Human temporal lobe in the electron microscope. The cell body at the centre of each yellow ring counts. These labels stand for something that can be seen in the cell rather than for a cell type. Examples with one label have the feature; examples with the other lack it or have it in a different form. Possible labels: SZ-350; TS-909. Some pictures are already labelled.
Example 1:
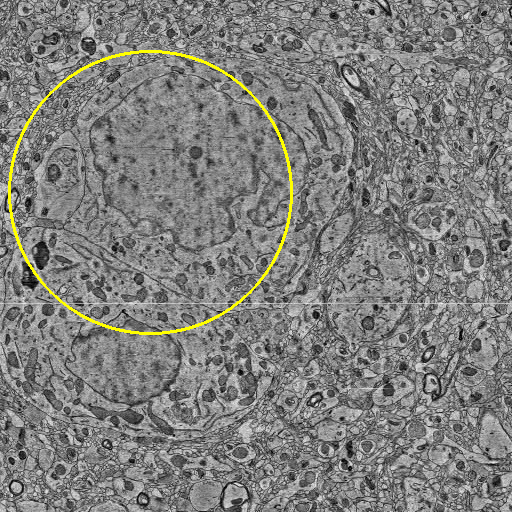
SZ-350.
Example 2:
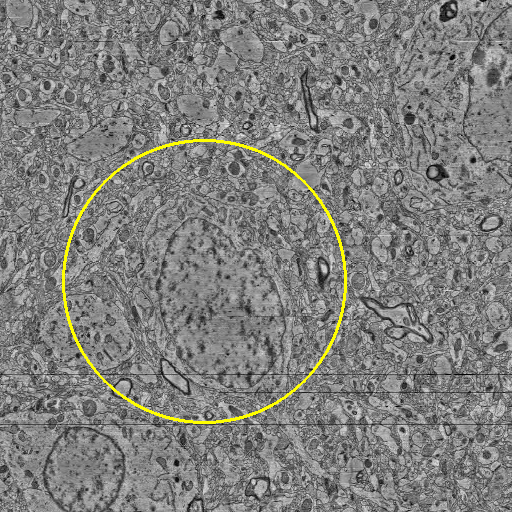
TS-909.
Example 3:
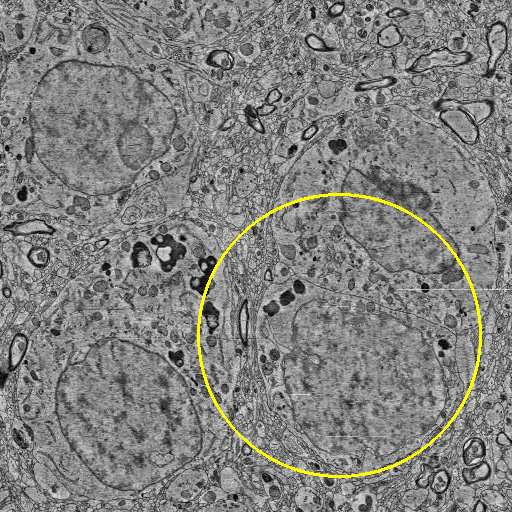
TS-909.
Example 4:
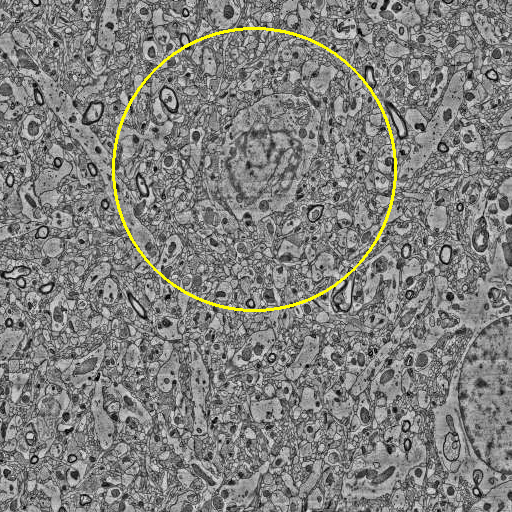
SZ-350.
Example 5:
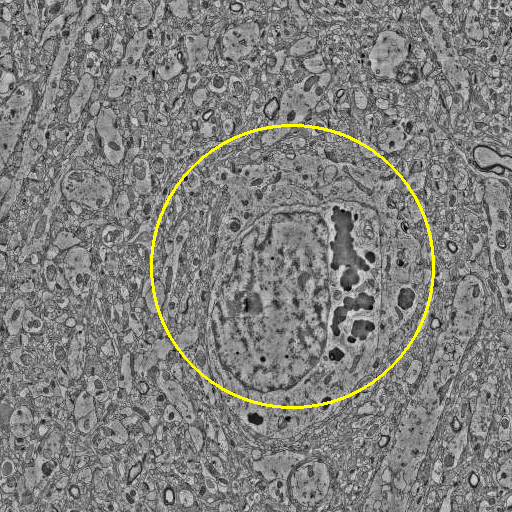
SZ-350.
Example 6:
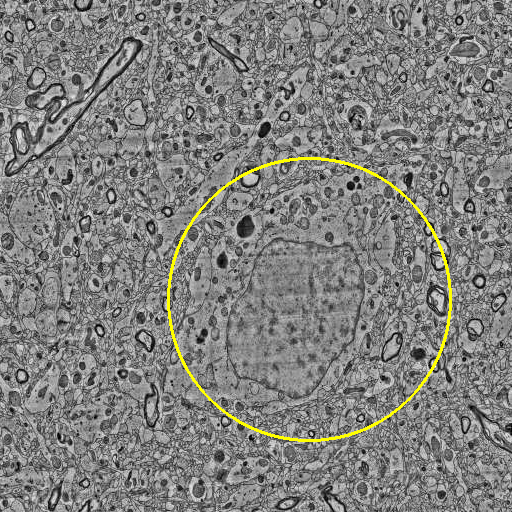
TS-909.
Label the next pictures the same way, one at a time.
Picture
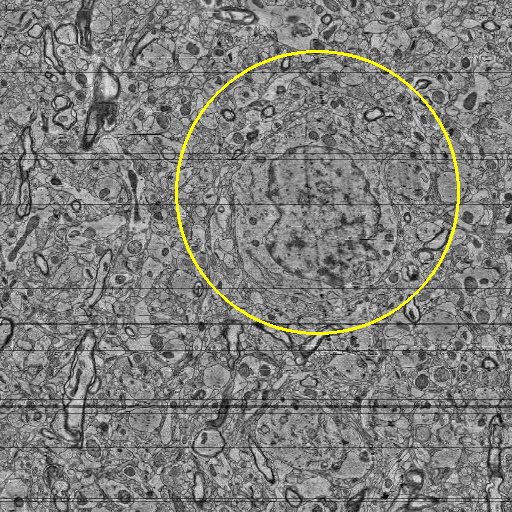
TS-909.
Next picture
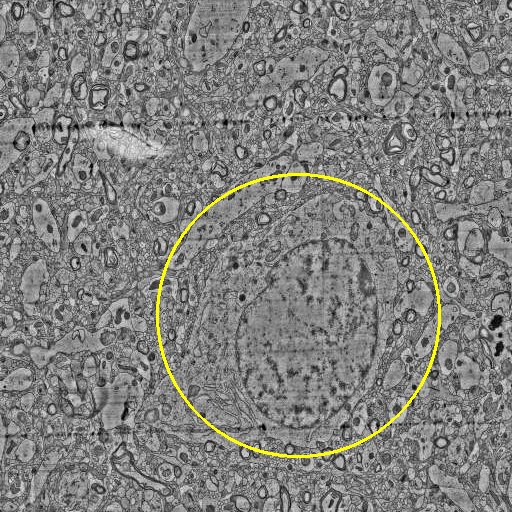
TS-909.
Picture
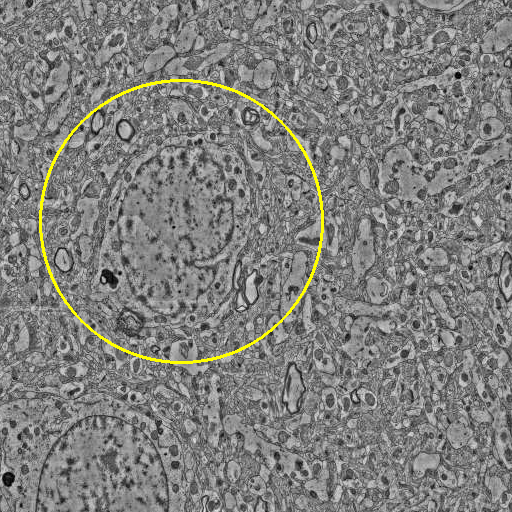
SZ-350.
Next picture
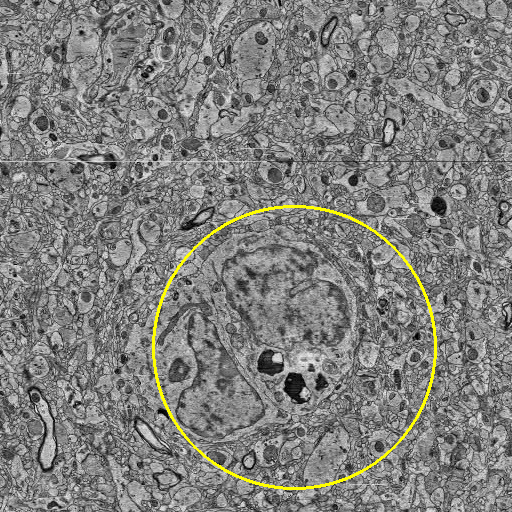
SZ-350.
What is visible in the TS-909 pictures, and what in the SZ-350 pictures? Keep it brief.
TS-909: smooth nuclear envelopes without deep folds; SZ-350: deeply folded or indented nuclear envelopes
